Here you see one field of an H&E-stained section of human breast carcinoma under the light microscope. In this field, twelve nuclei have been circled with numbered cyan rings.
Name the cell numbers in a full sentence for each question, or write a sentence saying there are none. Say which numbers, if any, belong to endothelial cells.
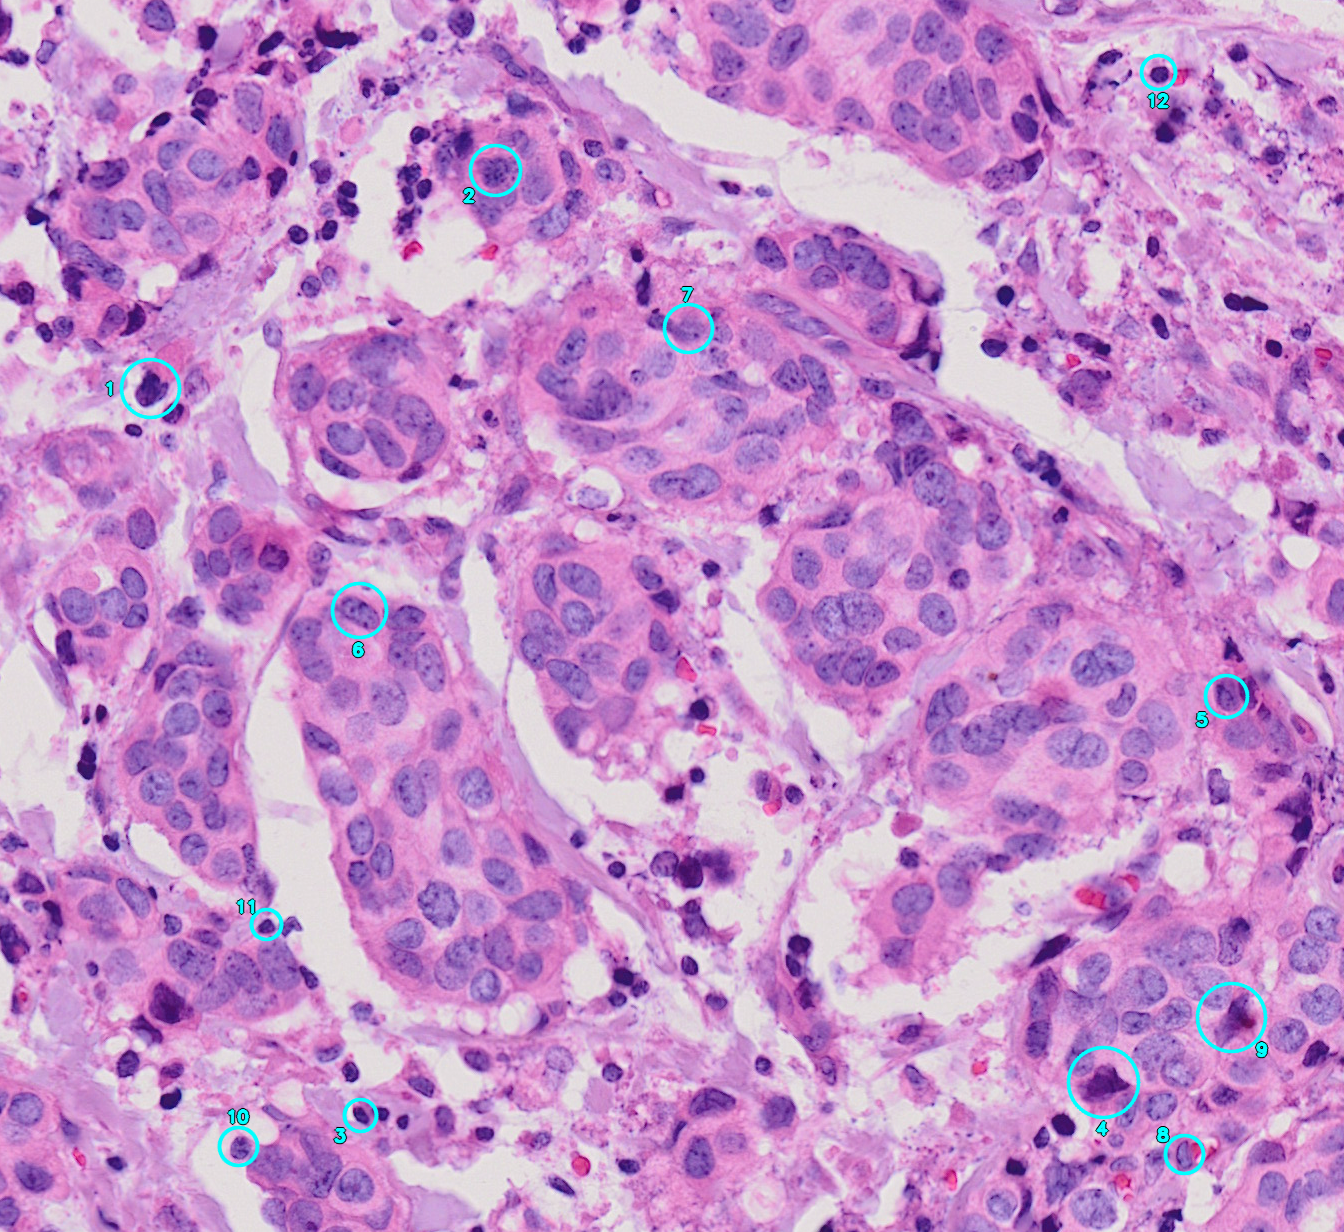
Only nucleus 8 belongs to an endothelial cell; the other numbered nuclei do not.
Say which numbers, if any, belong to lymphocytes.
The cells with numbers 3, 10, 11 and 12 are lymphocytes by type.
